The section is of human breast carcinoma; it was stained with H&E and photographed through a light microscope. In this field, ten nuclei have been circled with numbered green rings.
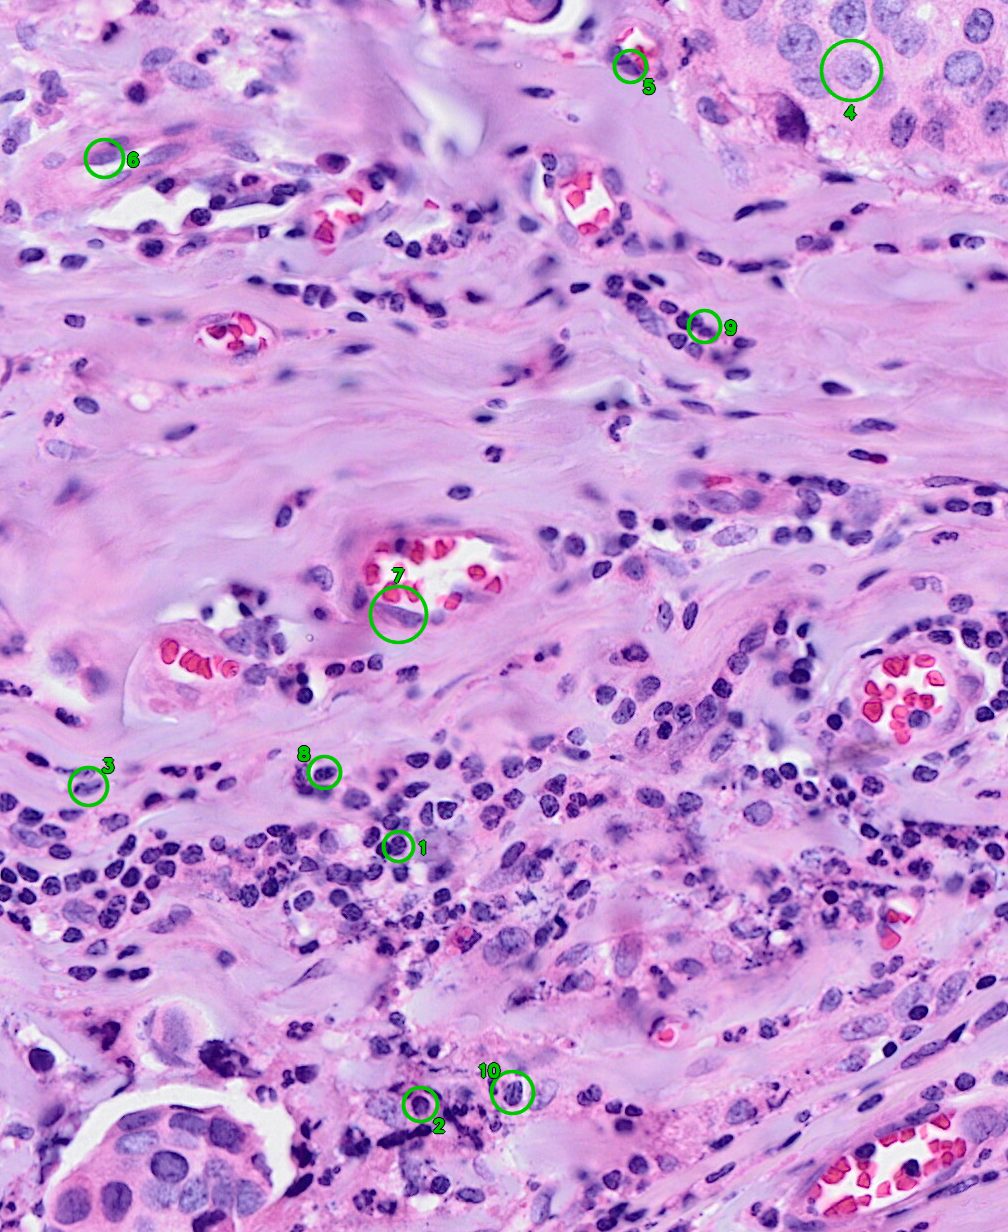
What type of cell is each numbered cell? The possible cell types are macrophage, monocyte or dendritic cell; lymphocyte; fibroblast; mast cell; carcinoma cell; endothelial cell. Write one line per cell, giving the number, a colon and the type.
1: lymphocyte
2: lymphocyte
3: lymphocyte
4: carcinoma cell
5: endothelial cell
6: endothelial cell
7: endothelial cell
8: lymphocyte
9: lymphocyte
10: lymphocyte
